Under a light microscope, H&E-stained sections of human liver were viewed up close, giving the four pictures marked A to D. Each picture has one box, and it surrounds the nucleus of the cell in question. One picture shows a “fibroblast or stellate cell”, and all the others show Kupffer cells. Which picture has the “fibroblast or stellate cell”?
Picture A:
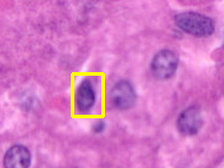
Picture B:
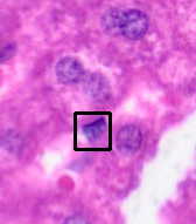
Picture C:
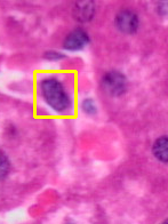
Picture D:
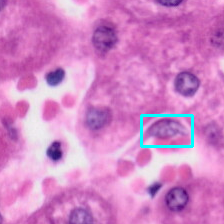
B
